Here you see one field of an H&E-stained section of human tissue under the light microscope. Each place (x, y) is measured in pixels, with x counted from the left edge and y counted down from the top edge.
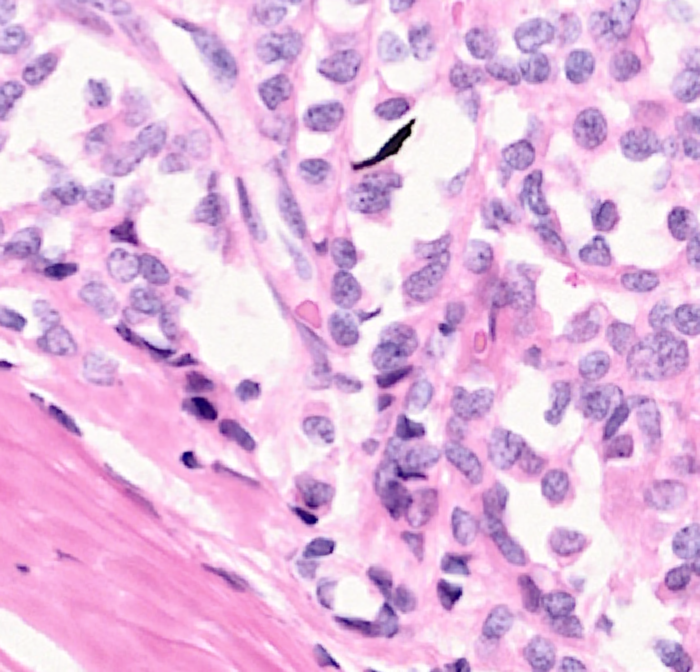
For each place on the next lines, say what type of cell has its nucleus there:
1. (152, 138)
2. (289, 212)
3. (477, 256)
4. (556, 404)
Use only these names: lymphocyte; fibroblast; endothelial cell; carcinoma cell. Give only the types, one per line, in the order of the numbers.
carcinoma cell
endothelial cell
carcinoma cell
carcinoma cell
